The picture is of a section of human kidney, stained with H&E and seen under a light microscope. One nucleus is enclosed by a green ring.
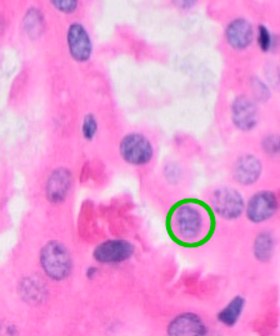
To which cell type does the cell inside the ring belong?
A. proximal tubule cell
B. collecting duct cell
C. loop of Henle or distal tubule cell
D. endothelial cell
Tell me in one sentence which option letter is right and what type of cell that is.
Of all the options, C is right, since the cell inside the ring is a loop of Henle or distal tubule cell.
